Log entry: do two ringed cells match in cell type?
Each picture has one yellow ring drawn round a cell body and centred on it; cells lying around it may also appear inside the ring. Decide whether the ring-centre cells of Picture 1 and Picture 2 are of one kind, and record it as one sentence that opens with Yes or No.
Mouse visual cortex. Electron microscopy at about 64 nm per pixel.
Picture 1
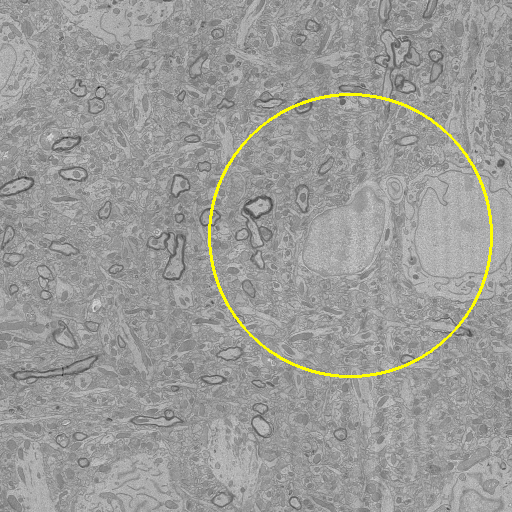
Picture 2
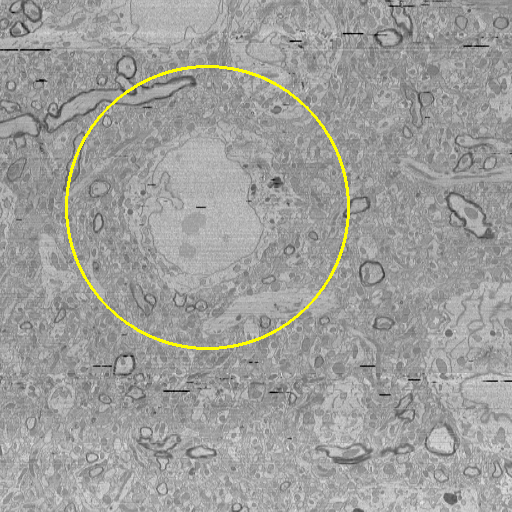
No, the cells at the ring centres of the two pictures belong to two kinds.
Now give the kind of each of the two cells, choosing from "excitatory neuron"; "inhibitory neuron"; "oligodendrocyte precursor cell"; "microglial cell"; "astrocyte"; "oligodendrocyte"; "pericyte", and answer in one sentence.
The cell in the first picture is an oligodendrocyte precursor cell, and the cell in the second is an excitatory neuron.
